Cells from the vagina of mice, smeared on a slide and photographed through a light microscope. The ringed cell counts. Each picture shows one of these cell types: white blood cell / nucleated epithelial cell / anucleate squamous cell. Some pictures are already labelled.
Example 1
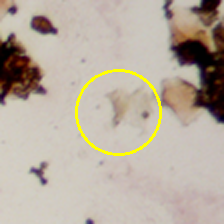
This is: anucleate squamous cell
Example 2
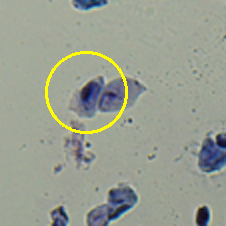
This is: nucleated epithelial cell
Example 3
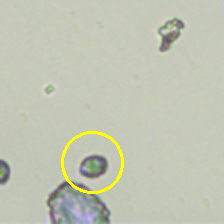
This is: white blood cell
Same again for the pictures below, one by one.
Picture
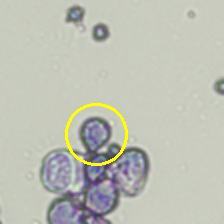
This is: nucleated epithelial cell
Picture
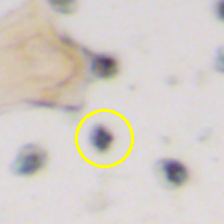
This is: white blood cell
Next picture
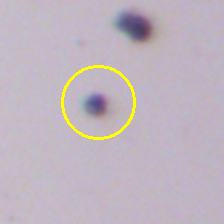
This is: white blood cell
